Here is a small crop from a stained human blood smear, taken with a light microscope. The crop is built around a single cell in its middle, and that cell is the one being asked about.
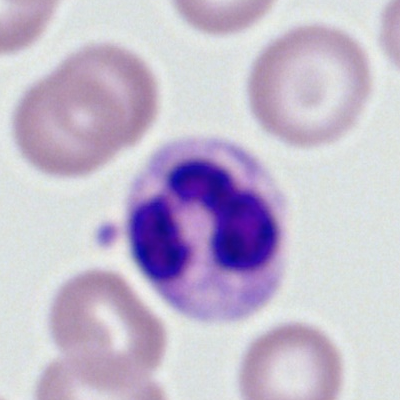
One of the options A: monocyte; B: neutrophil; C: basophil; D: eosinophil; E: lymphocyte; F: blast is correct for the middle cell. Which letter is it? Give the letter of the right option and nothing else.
B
